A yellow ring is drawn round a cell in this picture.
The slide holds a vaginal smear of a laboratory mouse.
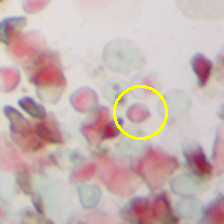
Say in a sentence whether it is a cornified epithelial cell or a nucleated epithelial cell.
The cell in the ring is a nucleated epithelial cell.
